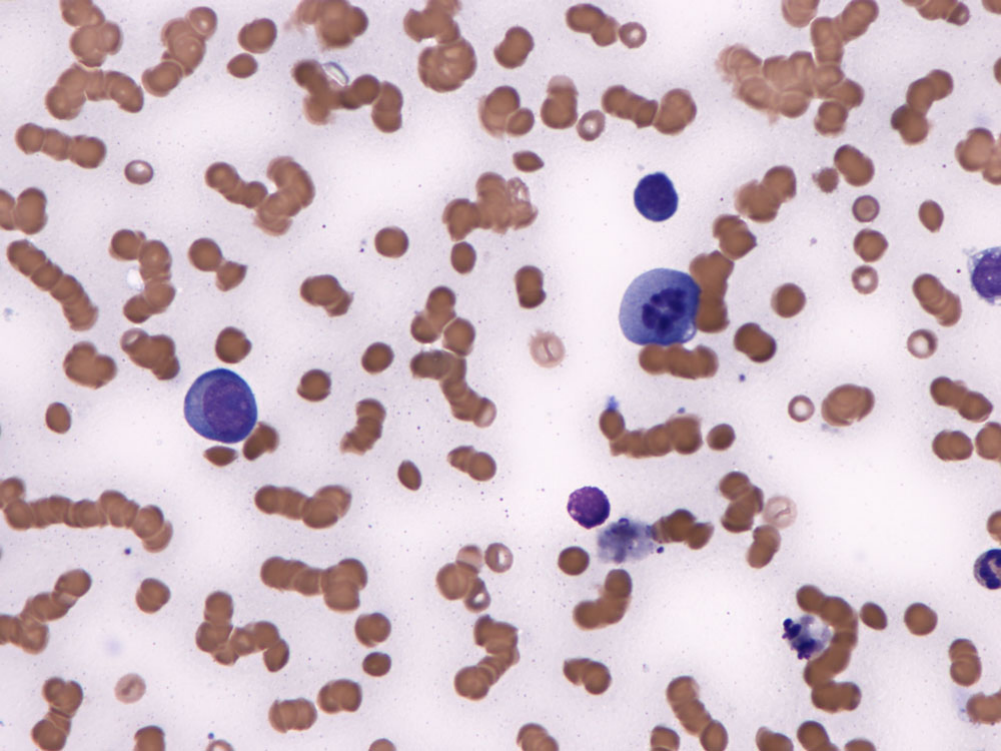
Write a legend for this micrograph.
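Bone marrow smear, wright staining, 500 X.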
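Red cells, stained tan-brown, lie singly and in short stacks and chains; a few appear pale or ghost-like. Left of centre, a round cell has abundant deep blue cytoplasm and an eccentric, round, purple nucleus. In the lower centre, a small dark purple round cell sits beside a pale bluish patch of granular material. Small purple clumps lie at the lower right, and partial cells lie at the right edge.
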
